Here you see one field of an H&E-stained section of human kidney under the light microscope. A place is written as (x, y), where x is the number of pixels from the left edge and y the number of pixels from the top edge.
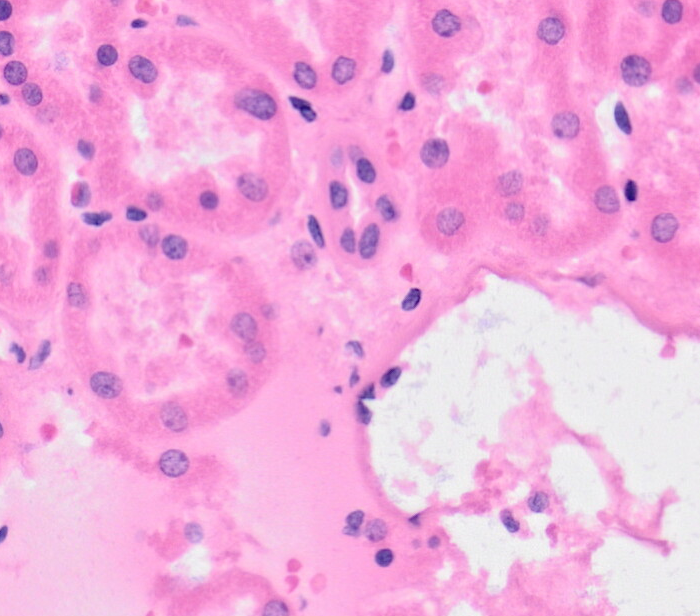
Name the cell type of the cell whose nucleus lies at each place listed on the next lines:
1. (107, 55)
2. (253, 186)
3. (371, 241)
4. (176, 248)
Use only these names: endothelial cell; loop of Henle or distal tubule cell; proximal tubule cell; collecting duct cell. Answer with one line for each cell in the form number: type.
1: proximal tubule cell
2: proximal tubule cell
3: collecting duct cell
4: proximal tubule cell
